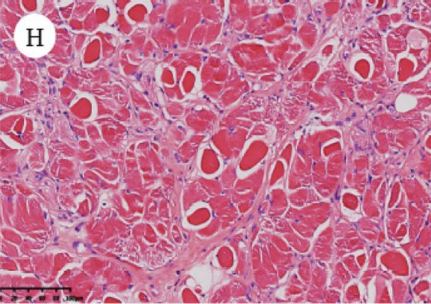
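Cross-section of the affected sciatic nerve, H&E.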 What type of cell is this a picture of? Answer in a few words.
mature skeletal muscle fibers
